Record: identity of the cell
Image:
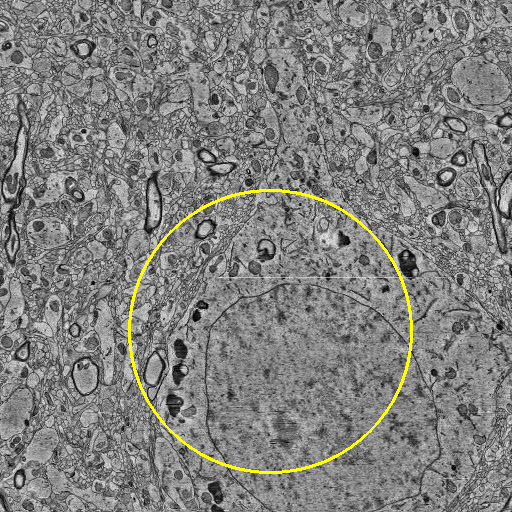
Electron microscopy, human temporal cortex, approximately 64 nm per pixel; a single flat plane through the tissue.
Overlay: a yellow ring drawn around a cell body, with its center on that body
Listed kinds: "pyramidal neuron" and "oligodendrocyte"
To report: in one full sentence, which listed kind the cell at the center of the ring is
In the image, the cell body at the ring's center belongs to a pyramidal neuron.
